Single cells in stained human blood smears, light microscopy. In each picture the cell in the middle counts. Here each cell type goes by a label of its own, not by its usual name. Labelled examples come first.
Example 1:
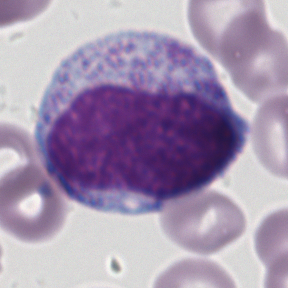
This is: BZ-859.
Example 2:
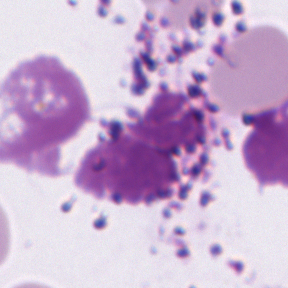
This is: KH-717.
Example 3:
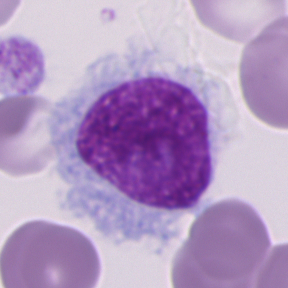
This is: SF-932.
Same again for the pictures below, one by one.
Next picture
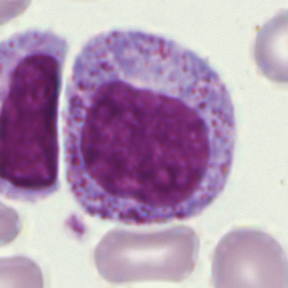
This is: BZ-859.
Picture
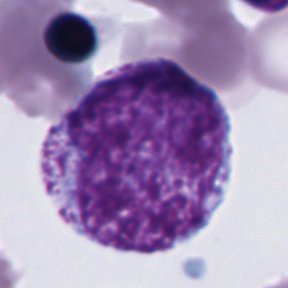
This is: BZ-859.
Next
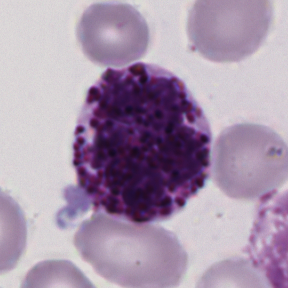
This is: KH-717.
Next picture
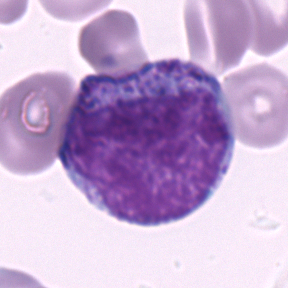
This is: BZ-859.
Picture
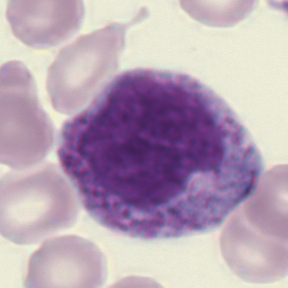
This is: BZ-859.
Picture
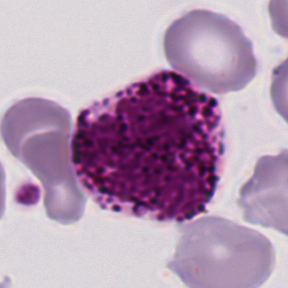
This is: KH-717.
